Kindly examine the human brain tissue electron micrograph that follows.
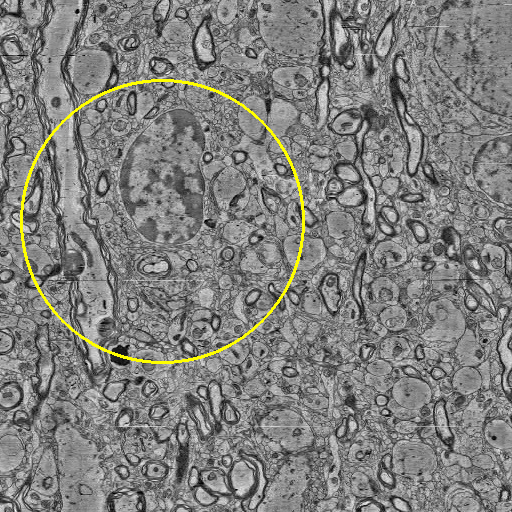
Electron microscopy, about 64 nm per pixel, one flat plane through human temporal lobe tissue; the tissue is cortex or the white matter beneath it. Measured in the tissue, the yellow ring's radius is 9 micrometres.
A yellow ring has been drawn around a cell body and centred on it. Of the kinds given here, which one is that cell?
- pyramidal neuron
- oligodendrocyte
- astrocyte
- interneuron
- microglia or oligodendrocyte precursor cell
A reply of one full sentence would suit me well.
The micrograph's ringed cell, the one at the ring's centre, is a microglial cell or oligodendrocyte precursor cell.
